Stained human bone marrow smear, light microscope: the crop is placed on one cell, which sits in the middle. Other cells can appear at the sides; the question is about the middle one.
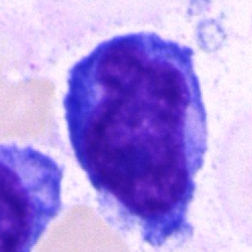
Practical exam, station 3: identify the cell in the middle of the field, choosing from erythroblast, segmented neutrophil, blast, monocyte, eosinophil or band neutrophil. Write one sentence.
What the crop centres on is a blast.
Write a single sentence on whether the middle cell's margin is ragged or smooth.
As for its outline, the cell is irregular, ragged or drawn into projections.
